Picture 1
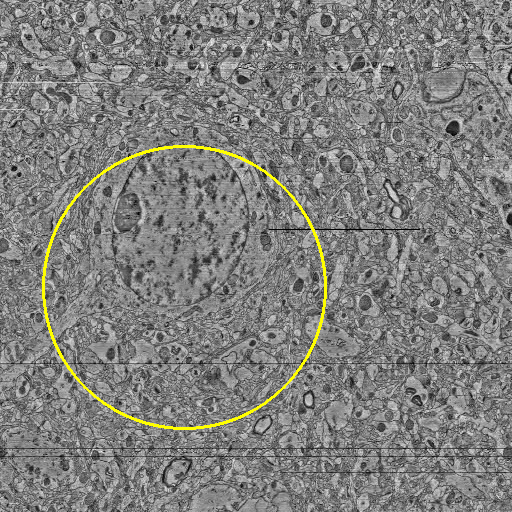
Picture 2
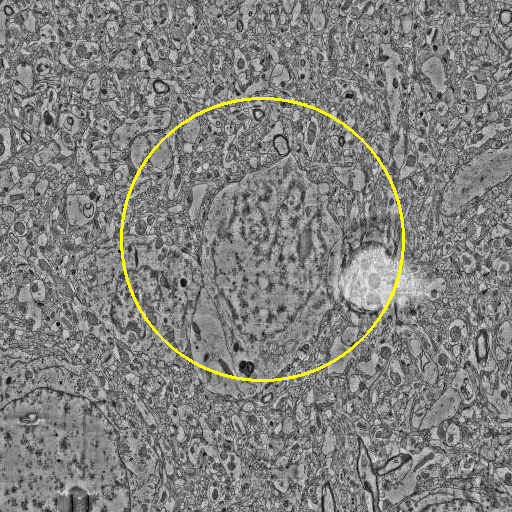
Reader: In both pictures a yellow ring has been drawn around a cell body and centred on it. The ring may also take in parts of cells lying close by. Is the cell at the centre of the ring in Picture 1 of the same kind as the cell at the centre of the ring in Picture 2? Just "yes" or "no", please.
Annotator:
no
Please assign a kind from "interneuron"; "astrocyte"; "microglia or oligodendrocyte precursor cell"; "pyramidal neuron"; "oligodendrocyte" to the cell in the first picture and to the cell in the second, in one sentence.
In the first picture we have a pyramidal neuron, and in the second, an interneuron.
